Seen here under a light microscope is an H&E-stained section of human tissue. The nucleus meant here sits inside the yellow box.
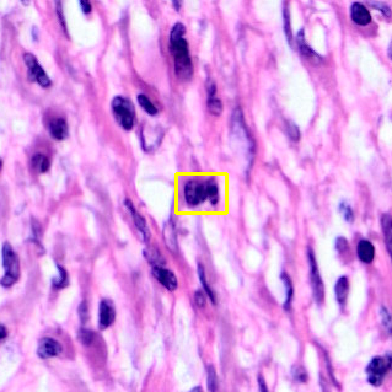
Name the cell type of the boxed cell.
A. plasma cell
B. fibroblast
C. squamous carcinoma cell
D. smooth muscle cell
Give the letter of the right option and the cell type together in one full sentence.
Of the options offered, A is correct, as the boxed cell is a plasma cell.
